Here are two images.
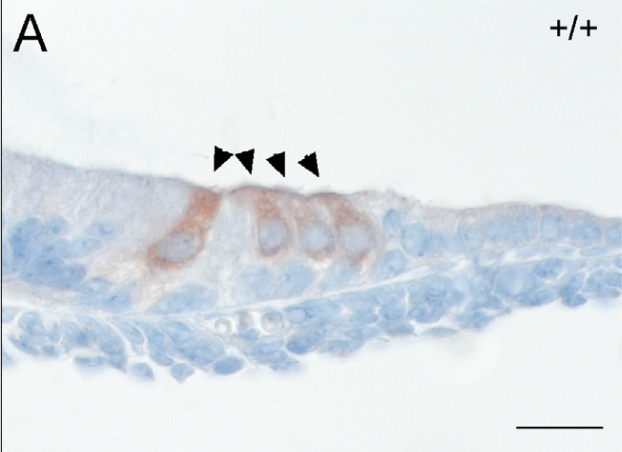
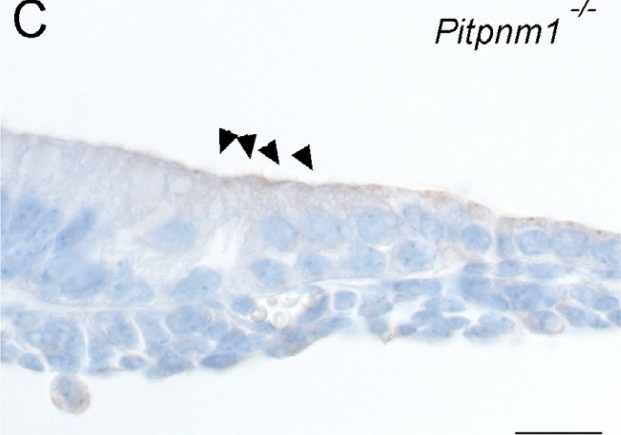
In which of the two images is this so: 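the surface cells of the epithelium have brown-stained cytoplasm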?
The first image.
